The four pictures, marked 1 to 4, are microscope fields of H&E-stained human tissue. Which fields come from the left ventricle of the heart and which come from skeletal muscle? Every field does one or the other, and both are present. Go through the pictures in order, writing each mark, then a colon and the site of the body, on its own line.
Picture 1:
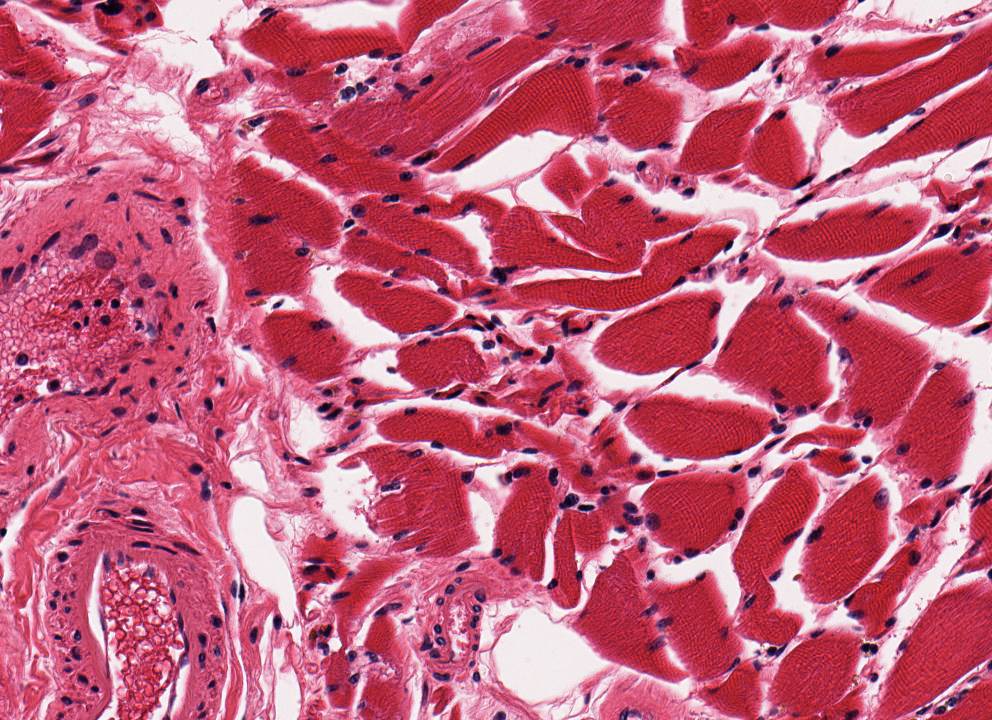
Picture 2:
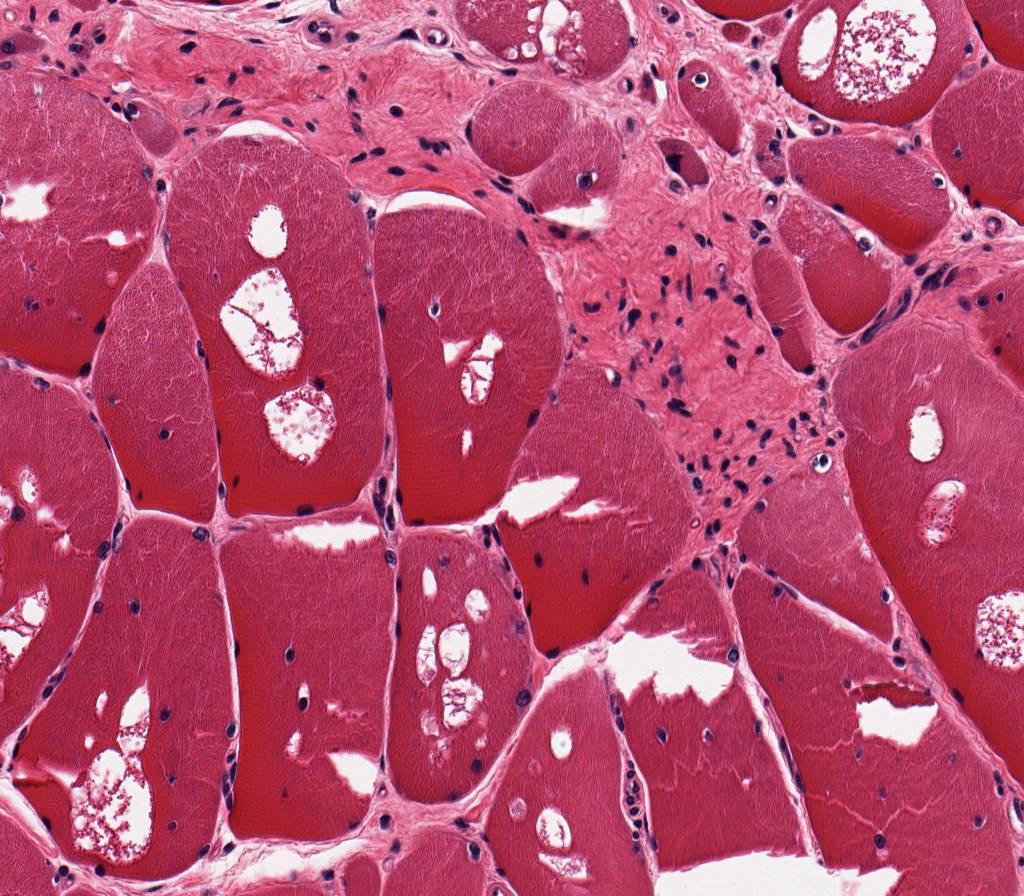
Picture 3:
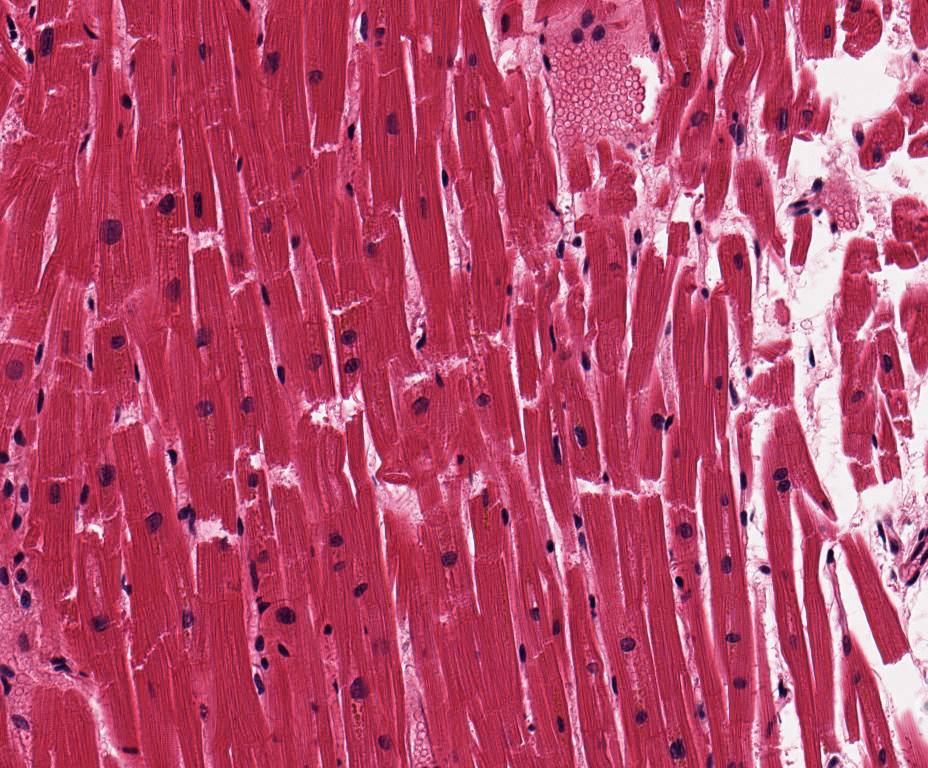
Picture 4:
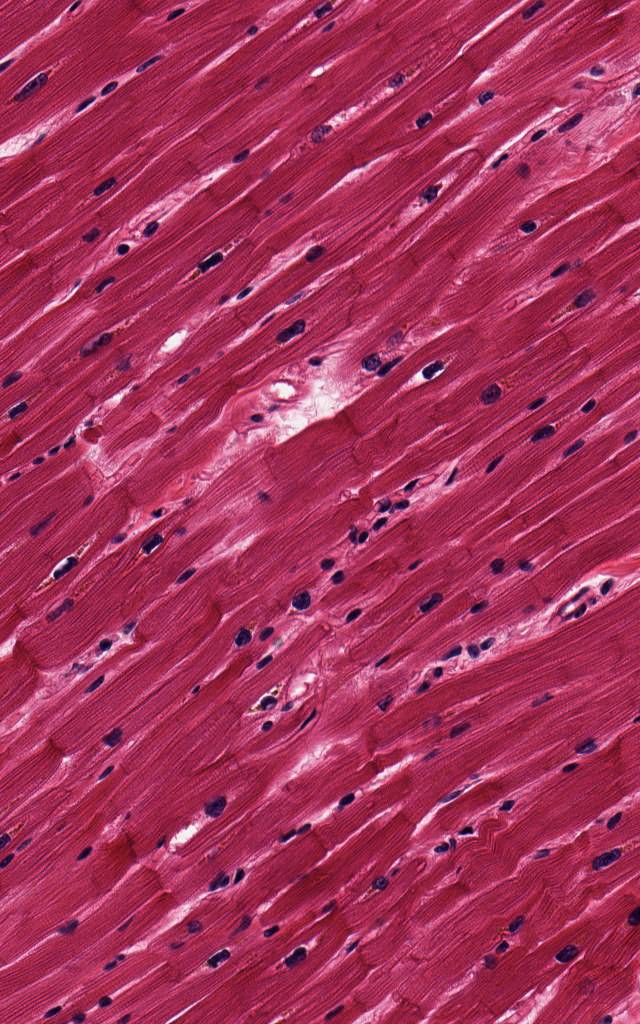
1: skeletal muscle
2: skeletal muscle
3: left ventricle of the heart
4: left ventricle of the heart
